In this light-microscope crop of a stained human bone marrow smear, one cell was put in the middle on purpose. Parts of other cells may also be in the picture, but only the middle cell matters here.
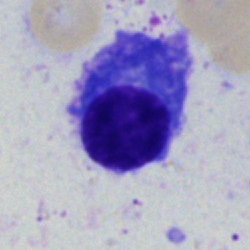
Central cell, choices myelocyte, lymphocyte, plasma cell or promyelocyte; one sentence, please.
The middle of this crop is occupied by a plasma cell.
